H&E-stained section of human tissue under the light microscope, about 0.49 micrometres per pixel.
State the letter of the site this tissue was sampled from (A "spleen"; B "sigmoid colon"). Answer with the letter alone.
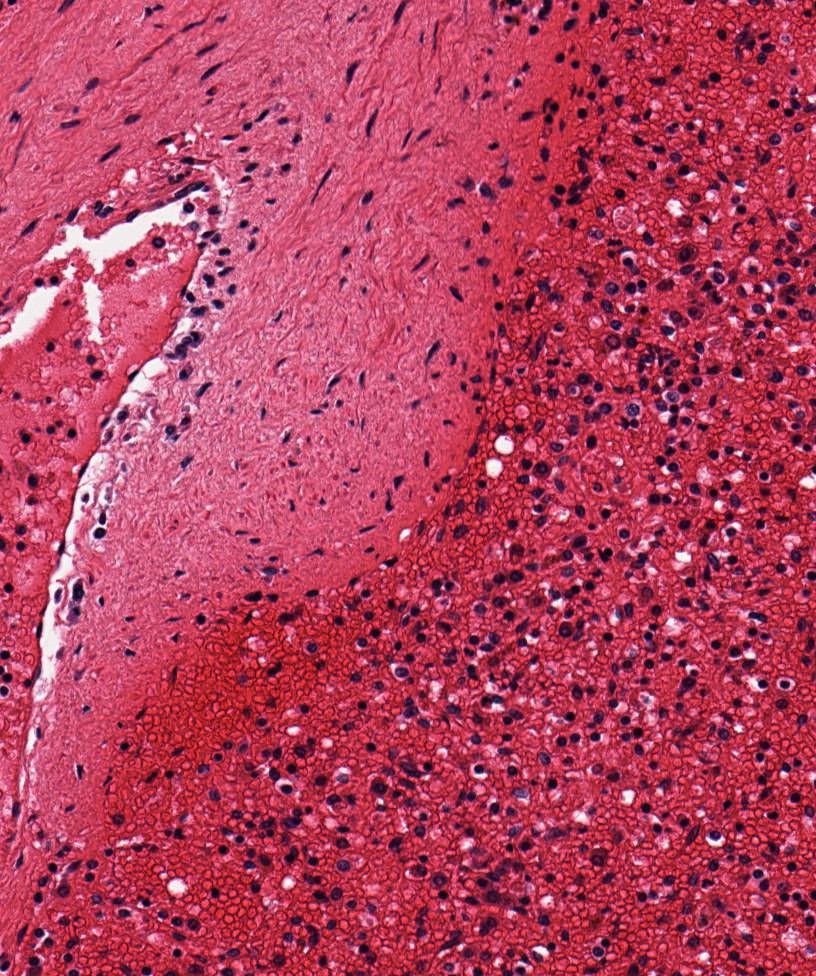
A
